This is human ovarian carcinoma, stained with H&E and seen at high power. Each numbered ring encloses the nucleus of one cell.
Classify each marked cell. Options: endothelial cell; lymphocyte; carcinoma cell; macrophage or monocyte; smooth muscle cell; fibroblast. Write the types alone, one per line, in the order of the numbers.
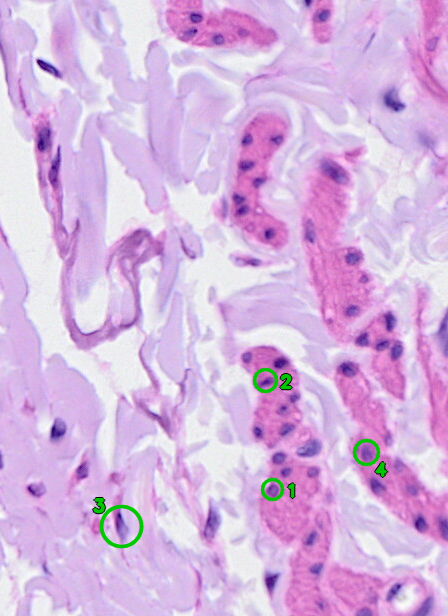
smooth muscle cell
smooth muscle cell
fibroblast
smooth muscle cell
